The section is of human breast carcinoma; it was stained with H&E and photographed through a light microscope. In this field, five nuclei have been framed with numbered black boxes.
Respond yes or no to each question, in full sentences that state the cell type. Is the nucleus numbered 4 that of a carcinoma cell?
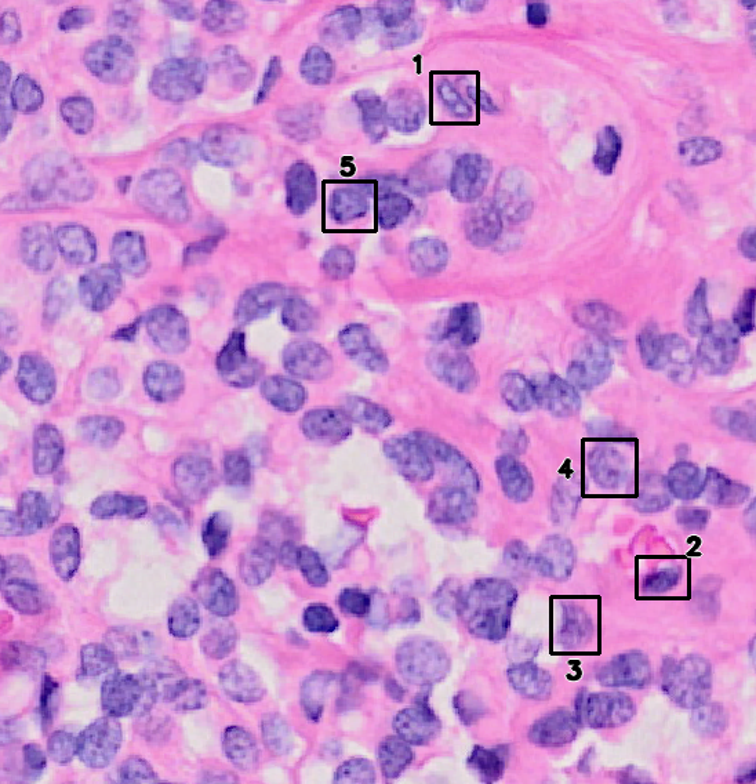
Yes, the cell numbered 4 in this tissue is a carcinoma cell.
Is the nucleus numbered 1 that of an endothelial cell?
Yes, to put it simply, cell number 1 is an endothelial cell.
